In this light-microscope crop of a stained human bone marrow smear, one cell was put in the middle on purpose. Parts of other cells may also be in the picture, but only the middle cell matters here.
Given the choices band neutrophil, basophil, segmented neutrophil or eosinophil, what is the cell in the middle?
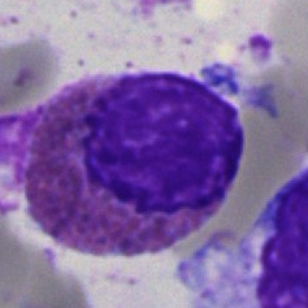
eosinophil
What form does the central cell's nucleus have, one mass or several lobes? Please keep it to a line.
The cell carries one compact nucleus shaped round, oval or like a kidney.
